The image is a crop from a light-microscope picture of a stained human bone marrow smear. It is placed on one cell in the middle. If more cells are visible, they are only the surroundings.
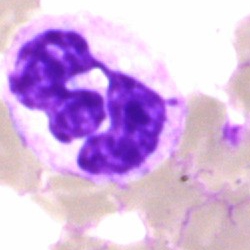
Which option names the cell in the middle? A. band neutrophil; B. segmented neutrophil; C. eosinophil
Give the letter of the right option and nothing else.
B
